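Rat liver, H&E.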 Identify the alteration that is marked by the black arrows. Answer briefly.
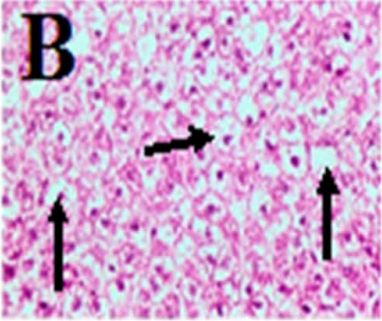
vacuolar degeneration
